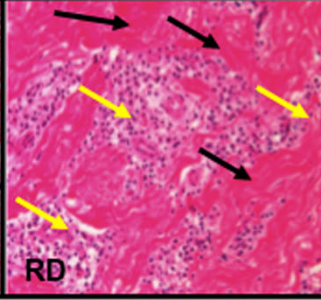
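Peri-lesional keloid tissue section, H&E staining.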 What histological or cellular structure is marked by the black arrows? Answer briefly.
Hyalinised collagen bundles.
